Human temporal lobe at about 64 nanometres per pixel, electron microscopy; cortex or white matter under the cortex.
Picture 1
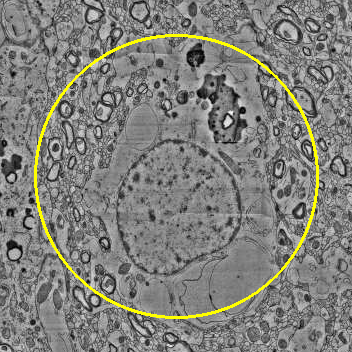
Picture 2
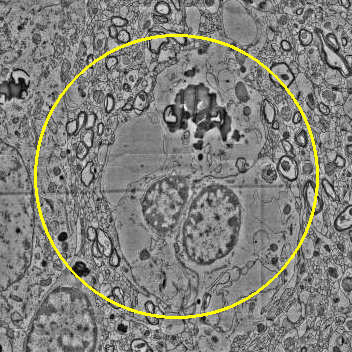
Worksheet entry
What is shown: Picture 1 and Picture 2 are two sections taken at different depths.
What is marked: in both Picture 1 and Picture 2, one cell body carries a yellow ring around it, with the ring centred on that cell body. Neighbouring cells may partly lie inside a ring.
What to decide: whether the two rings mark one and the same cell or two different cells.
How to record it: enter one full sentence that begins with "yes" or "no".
Yes, the same individual cell is enclosed by both rings.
